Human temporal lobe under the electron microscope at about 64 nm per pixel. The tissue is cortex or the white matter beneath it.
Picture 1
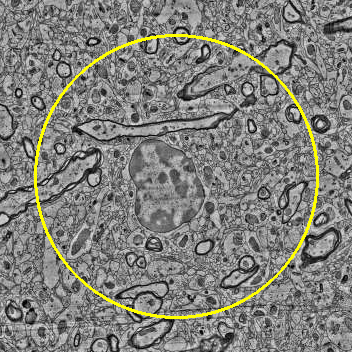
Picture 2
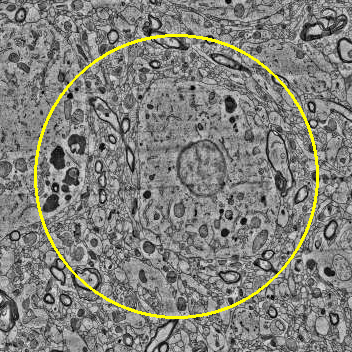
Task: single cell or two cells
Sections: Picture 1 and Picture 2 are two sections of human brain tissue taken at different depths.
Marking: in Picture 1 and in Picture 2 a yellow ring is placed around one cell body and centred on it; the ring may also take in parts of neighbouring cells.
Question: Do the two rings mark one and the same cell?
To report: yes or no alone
no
